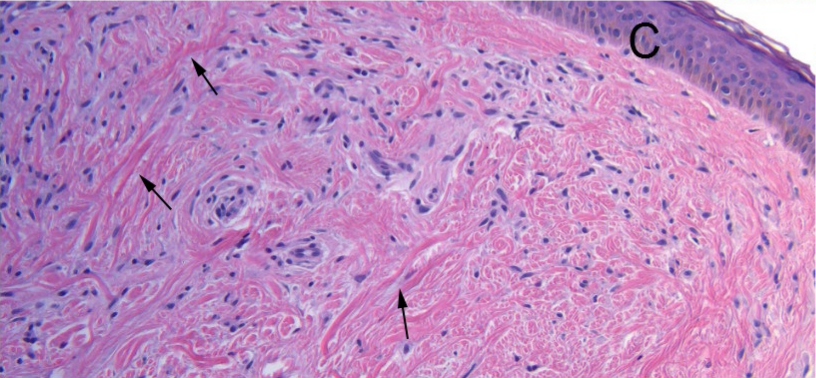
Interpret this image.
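This is the upper dermis of skin beneath a thin epidermis, with many fibroblasts set in a fibrous stroma. The fibroblasts have small, dark, elongated spindle or wavy nuclei and are scattered fairly densely through the field. Between them run pink collagen fibres, some gathered into wavy, brighter pink bundles, around small blood vessels with rounded lumens. The epidermis forms a thin purple band along the upper right edge.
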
